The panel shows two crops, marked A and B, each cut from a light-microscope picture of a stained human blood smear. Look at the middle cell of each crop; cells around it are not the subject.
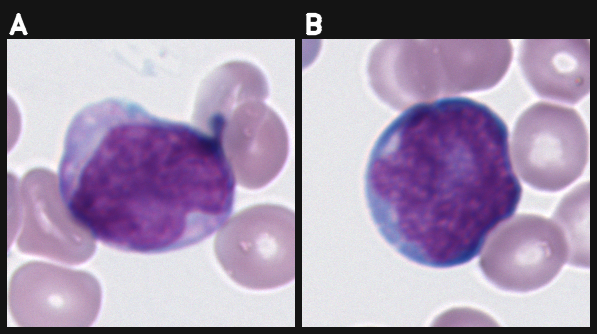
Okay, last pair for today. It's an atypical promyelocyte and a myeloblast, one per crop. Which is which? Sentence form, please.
There is an atypical promyelocyte in crop A and a myeloblast in crop B.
